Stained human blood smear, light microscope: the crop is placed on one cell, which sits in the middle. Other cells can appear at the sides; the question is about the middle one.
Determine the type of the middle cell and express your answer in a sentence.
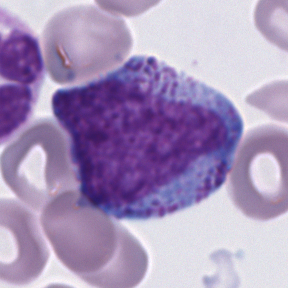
In this smear crop, the middle cell is a promyelocyte.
